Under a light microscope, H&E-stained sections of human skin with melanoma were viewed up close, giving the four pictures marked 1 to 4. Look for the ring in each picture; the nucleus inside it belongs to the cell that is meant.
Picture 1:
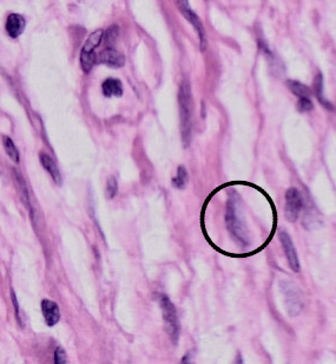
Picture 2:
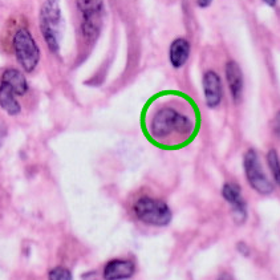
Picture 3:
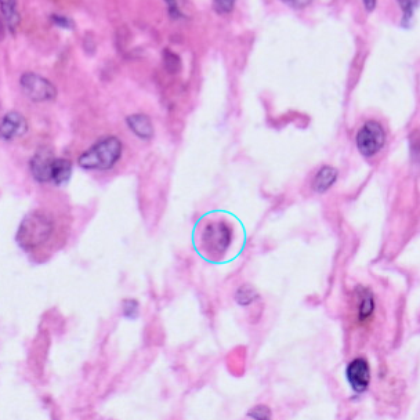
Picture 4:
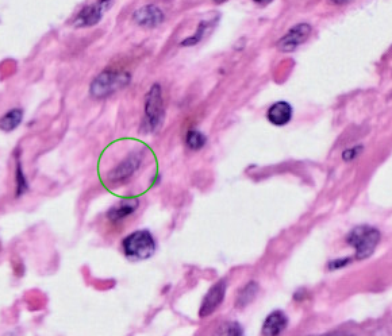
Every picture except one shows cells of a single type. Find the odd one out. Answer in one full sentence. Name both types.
Picture 1 differs, because its cell is a “fibroblast or myofibroblast” and the rest are “macrophages or monocytes”.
